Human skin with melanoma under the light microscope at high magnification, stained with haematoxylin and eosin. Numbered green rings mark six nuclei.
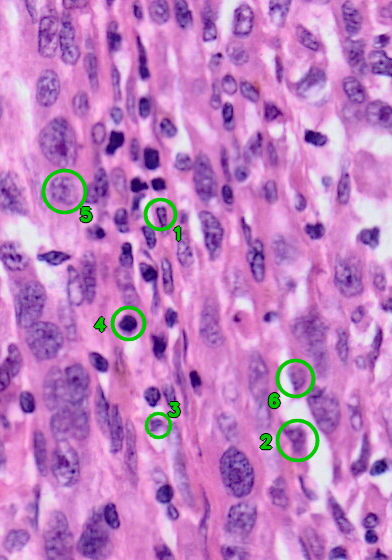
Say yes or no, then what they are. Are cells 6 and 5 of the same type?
Yes, along with cell 6, cell 5 is also among the melanoma cells.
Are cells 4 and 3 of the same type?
Yes, cell 4 is one of the lymphocytes, and so is cell 3.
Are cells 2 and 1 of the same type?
No, listen: cell 2 is a melanoma cell and cell 1 is a macrophage or monocyte.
